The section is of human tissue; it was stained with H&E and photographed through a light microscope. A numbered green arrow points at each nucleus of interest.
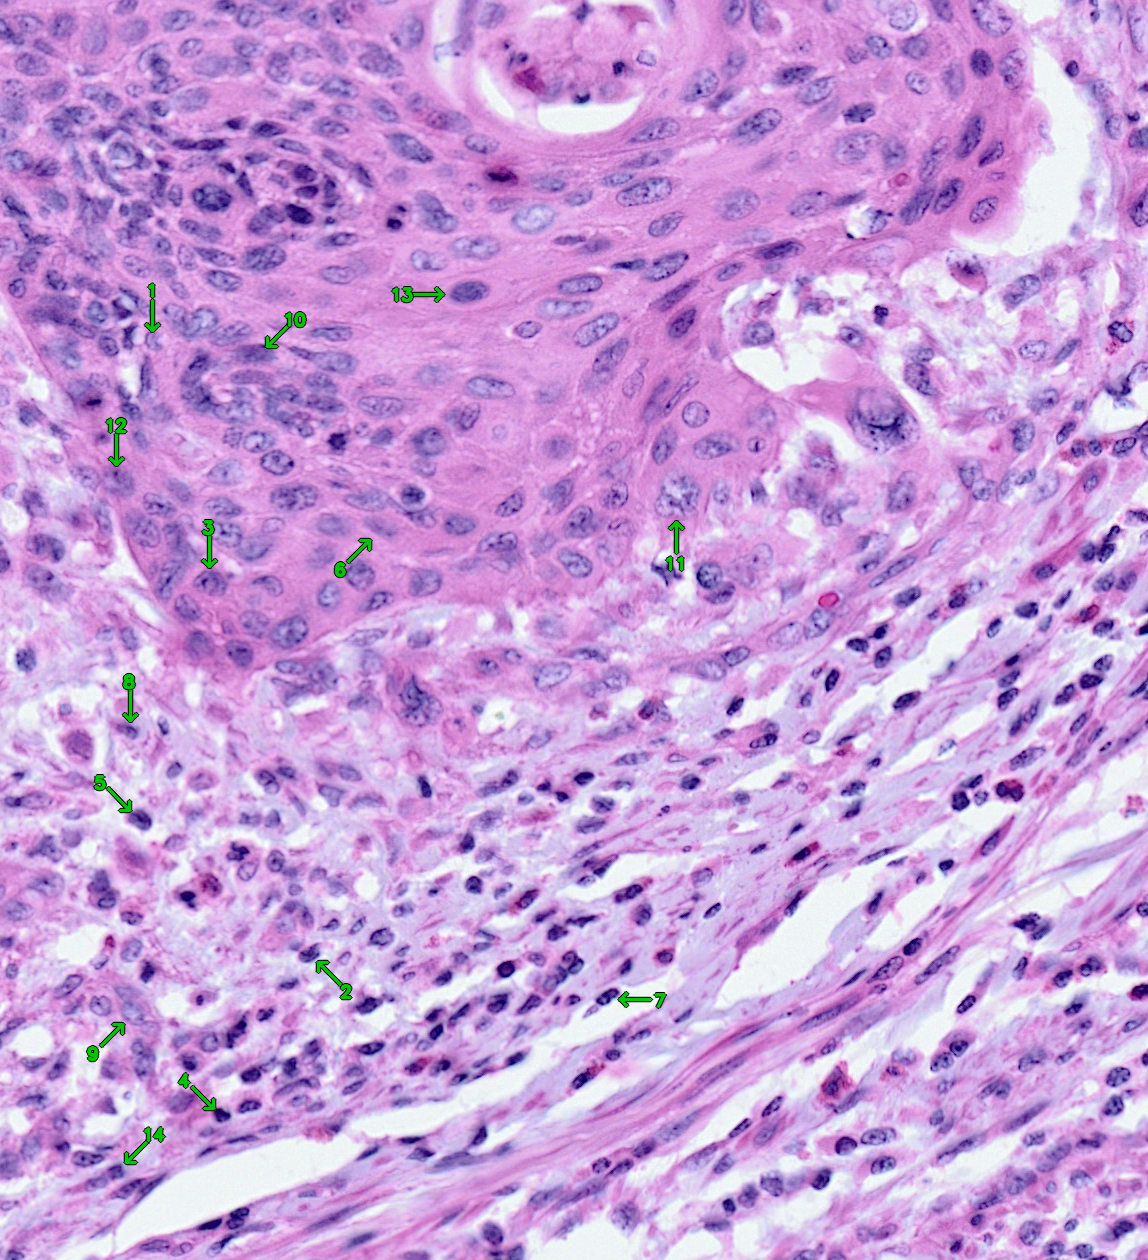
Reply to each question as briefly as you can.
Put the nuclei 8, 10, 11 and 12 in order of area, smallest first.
8, 10, 12, 11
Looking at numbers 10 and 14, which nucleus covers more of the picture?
10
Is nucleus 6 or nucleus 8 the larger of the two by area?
6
